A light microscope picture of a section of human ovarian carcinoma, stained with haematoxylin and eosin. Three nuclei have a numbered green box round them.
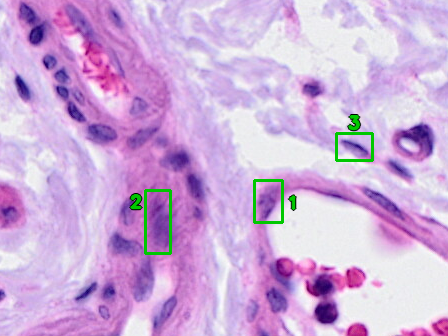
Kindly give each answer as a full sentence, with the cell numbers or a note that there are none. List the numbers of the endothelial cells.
The cells marked by the numbers 1 and 2 are endothelial cells.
